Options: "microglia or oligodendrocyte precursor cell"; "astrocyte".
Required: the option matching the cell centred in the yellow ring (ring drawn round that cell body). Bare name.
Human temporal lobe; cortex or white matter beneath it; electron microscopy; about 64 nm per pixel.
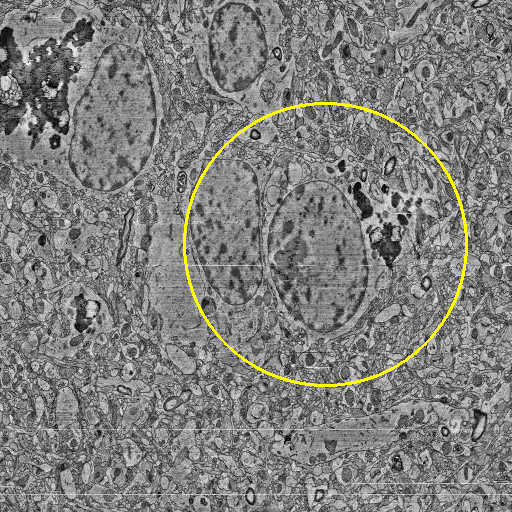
astrocyte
